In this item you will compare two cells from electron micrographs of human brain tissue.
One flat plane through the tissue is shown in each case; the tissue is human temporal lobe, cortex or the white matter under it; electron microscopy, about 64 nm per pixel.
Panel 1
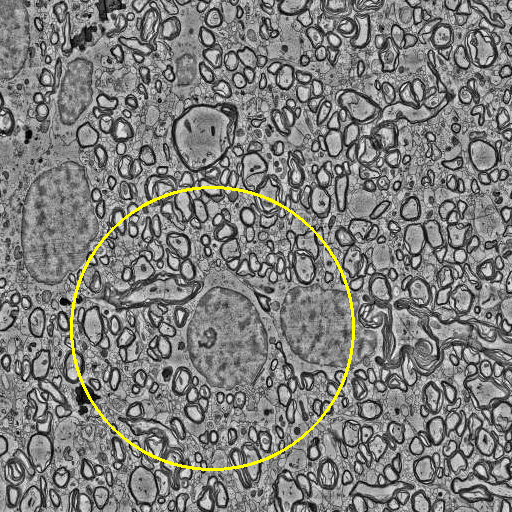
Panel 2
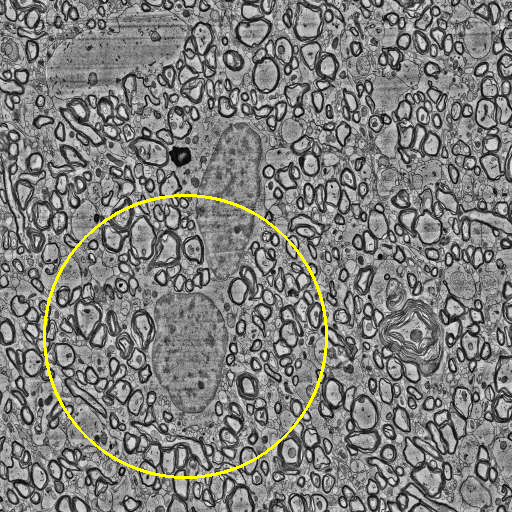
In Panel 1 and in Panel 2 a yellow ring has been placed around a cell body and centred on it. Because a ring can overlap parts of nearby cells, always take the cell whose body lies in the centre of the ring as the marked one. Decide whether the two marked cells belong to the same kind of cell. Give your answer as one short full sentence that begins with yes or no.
Yes, the two marked cells belong to the same kind of cell.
